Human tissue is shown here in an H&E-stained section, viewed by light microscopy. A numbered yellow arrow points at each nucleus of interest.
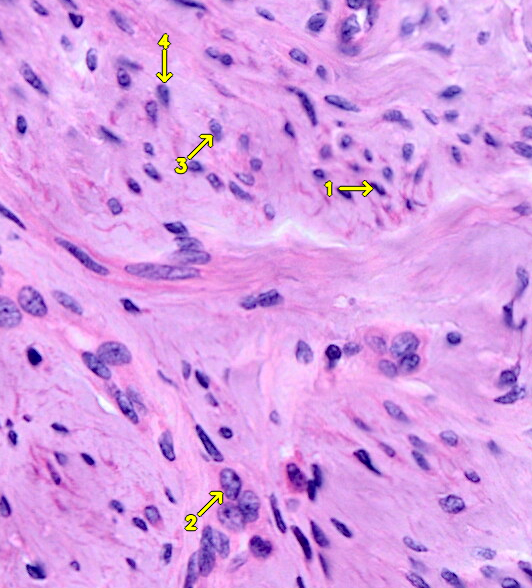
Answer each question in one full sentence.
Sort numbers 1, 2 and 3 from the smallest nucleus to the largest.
Smallest first, the nuclei run 1, 3, 2.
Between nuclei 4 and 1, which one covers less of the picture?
With nucleus 4 about 2 times its size, nucleus 1 is the smaller of the two.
